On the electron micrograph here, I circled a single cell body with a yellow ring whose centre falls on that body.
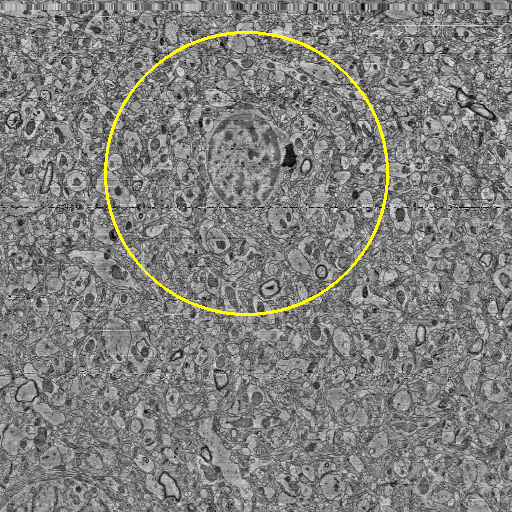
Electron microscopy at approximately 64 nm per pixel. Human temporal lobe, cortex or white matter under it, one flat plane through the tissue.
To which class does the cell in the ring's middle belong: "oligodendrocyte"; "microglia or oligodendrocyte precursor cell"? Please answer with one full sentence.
In this picture, the cell body circled at the ring's centre belongs to an oligodendrocyte.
